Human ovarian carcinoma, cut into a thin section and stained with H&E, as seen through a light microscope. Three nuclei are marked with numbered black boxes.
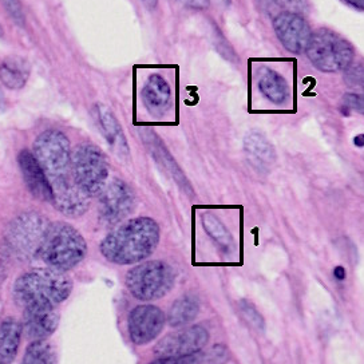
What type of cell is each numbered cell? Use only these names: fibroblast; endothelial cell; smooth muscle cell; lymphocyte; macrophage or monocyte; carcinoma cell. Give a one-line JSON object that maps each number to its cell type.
{"1": "fibroblast", "2": "macrophage or monocyte", "3": "macrophage or monocyte"}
